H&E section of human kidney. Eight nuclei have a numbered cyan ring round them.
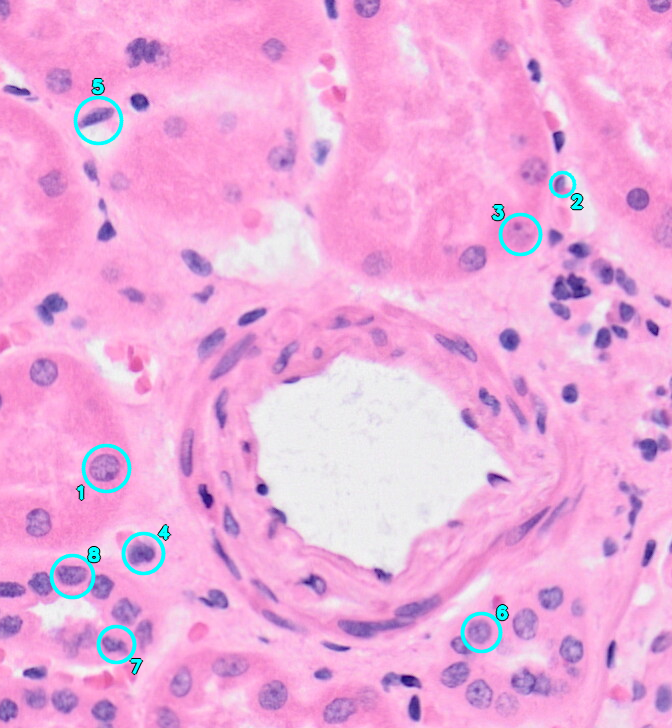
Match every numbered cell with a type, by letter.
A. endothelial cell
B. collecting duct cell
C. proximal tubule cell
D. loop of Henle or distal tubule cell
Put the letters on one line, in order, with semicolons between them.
C; A; C; A; A; B; B; B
